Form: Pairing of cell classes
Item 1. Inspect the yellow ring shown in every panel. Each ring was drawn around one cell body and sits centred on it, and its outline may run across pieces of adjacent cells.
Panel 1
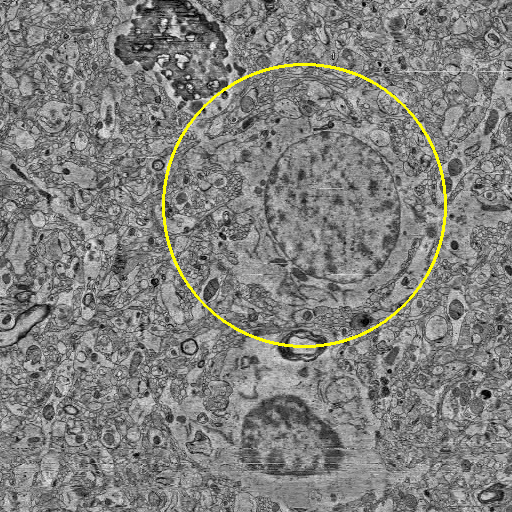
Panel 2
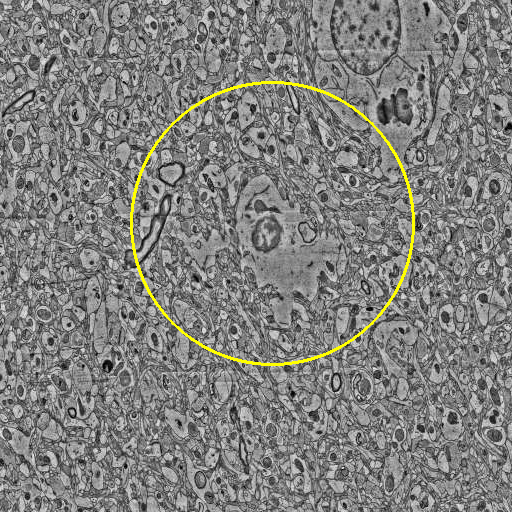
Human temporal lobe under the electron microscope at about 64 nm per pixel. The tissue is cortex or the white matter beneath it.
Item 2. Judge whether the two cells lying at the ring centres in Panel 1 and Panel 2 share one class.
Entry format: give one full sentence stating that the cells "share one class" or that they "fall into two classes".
The cells at the ring centres in Panel 1 and Panel 2 share one class.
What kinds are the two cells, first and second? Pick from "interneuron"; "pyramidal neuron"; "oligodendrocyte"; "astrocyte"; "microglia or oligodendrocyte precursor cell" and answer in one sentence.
In each picture the ringed cell is an astrocyte.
